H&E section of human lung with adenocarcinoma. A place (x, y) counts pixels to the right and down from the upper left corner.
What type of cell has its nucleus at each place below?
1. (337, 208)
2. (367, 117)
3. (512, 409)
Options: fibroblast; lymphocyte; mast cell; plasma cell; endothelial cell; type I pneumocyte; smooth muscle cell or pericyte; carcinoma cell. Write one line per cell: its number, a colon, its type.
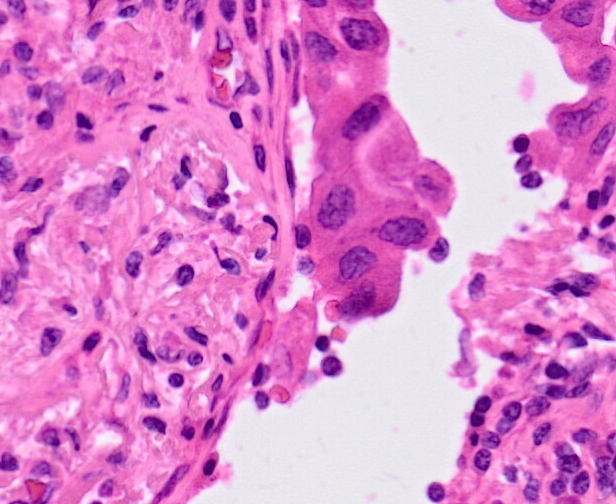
1: carcinoma cell
2: carcinoma cell
3: lymphocyte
